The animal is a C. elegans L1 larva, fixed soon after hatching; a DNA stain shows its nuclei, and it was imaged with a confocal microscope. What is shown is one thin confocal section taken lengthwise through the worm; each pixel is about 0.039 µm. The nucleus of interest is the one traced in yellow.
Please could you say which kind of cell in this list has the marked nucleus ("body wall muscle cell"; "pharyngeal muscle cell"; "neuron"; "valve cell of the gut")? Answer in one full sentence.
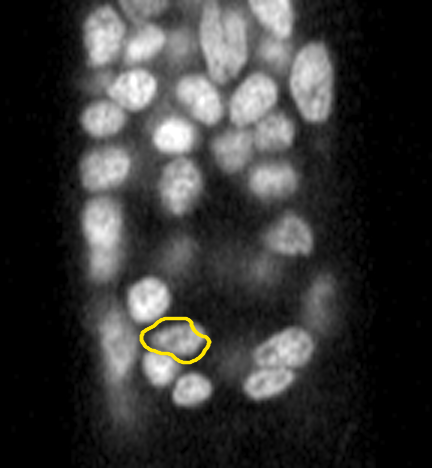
This is the nucleus of a pharyngeal muscle cell.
